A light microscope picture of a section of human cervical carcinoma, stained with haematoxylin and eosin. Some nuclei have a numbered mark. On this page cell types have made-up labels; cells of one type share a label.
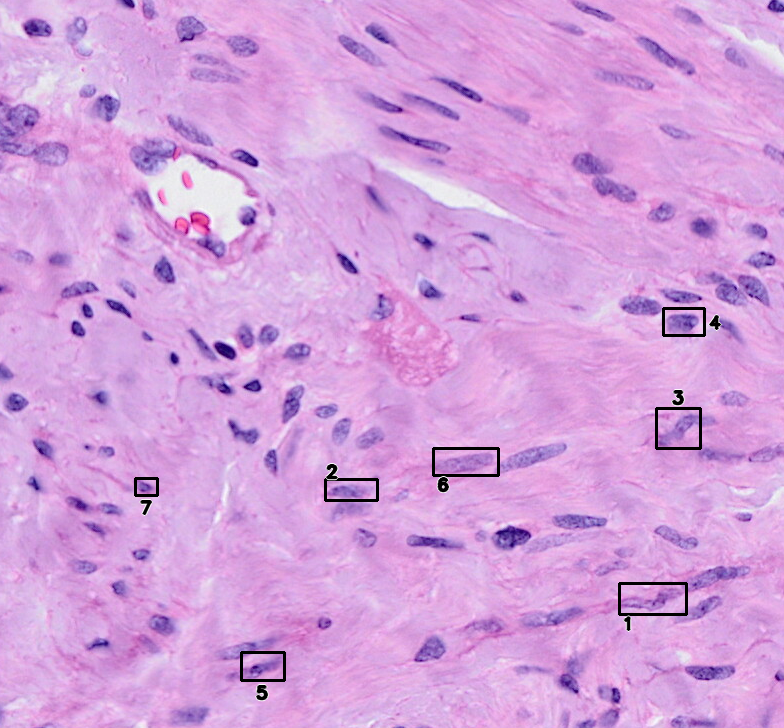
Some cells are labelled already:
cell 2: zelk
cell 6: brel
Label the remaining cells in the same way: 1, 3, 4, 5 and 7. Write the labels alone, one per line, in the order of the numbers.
brel
zelk
zelk
brel
brel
